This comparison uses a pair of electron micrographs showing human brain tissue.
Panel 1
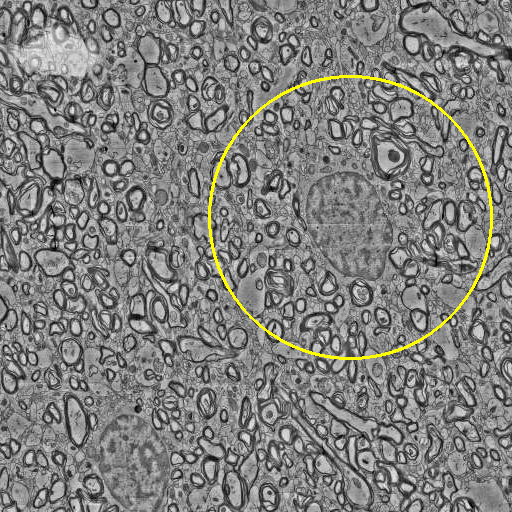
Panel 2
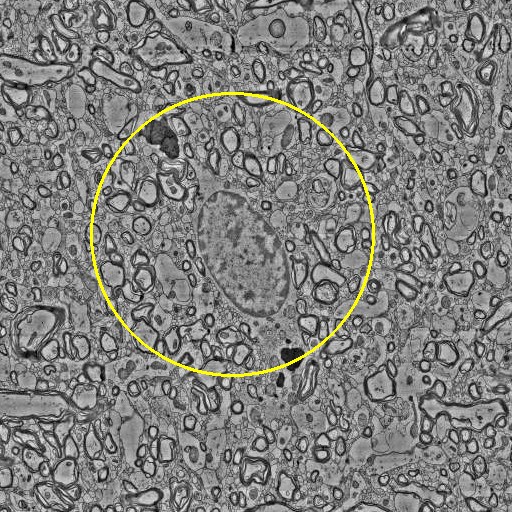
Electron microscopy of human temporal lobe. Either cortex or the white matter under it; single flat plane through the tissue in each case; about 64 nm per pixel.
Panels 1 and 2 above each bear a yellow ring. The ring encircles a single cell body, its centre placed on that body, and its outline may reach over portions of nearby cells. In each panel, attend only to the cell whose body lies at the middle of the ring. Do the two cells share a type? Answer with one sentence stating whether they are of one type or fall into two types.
In Panel 1 and Panel 2, the cells at the centres of the rings are of one type.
